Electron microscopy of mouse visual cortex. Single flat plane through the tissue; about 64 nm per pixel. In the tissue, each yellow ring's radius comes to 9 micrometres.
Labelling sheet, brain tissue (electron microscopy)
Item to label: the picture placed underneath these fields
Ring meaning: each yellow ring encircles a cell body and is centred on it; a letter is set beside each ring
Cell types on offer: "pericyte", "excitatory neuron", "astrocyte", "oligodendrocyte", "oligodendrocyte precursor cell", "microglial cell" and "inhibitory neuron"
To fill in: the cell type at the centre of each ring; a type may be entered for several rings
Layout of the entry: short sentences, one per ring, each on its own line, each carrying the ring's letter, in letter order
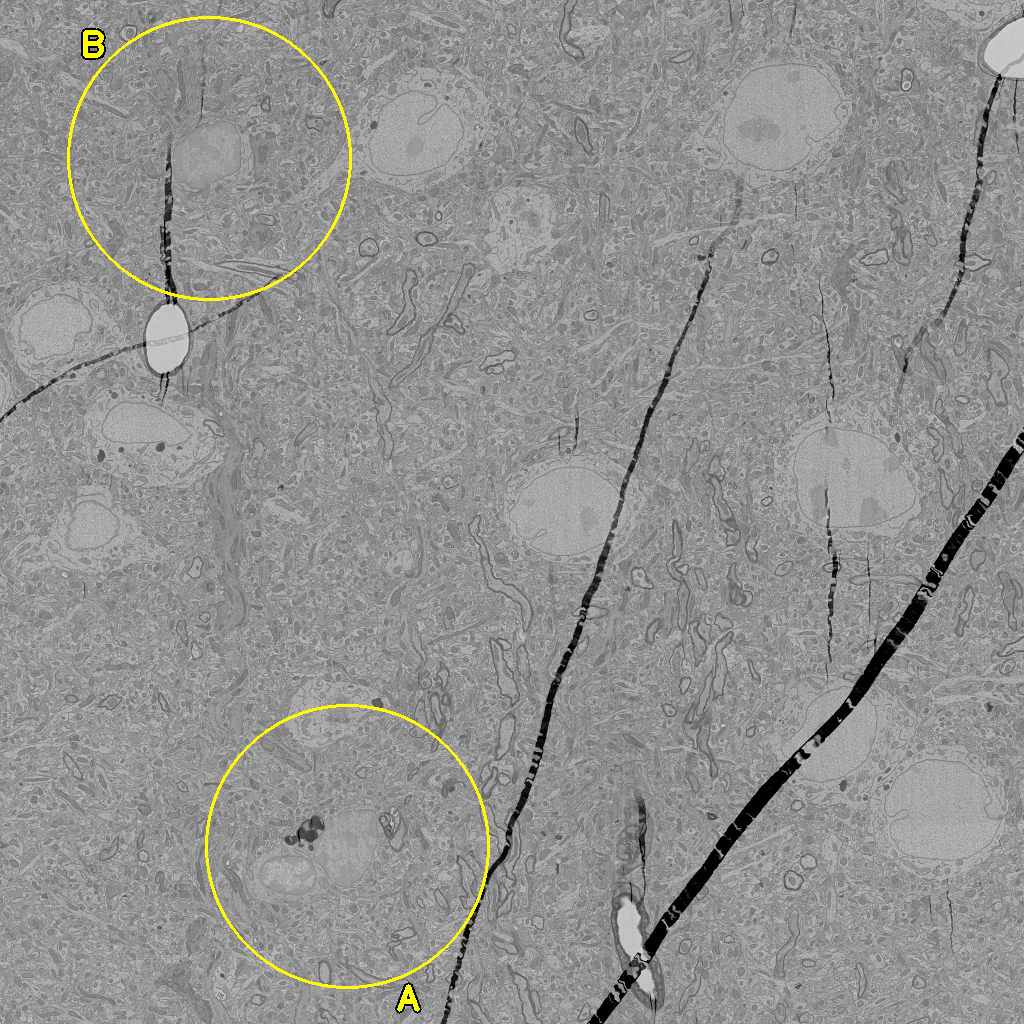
Ring A encircles the body of a microglial cell.
Ring B encircles the body of a microglial cell.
